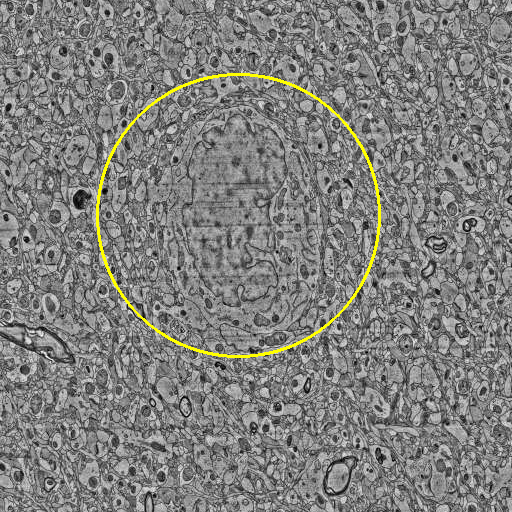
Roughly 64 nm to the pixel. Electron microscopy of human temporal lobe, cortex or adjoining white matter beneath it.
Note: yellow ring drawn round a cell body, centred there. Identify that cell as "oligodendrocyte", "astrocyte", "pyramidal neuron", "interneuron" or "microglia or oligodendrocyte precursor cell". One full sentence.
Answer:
The cell in the middle of the ring is an interneuron.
